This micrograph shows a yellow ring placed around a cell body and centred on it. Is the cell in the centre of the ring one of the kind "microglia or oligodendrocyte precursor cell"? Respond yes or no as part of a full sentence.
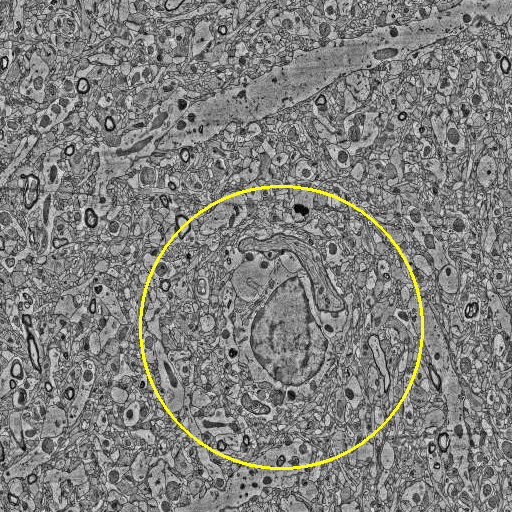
Yes, the cell in the centre of the ring within the picture is one of that kind.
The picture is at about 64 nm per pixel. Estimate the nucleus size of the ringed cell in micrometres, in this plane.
Roughly 7 micrometres by 5 micrometres, in this plane.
